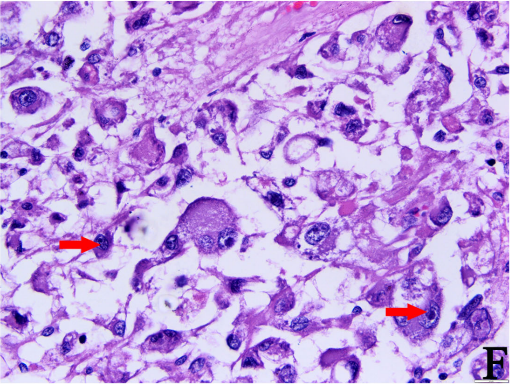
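Large, pleomorphic epithelioid tumor cells are shown at high magnification. The cells vary markedly in size and shape, with abundant eosinophilic cytoplasm, some of it pale or vacuolated. Nuclei are enlarged and dark, and several contain a distinct, prominent nucleolus. Occasional very large cells with broad pink cytoplasm stand out among the smaller ones. The cells lie loosely in a pale background with wispy pink stroma at the top.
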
